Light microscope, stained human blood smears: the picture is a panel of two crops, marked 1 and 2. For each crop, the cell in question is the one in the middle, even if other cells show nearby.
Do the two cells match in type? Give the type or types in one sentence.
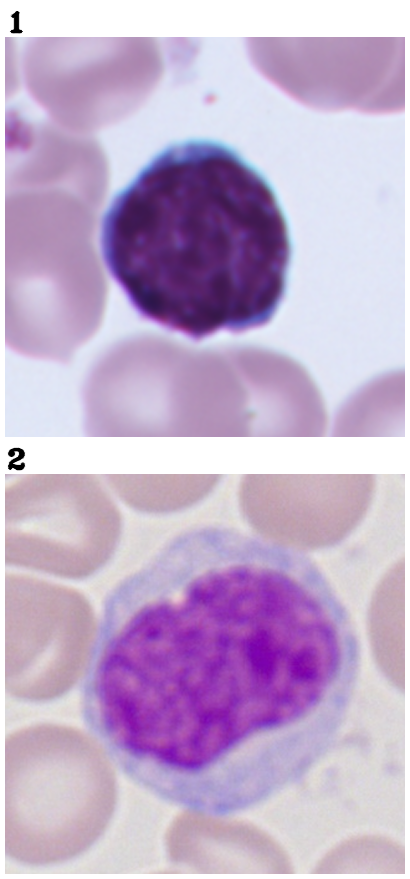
No, a monocyte is the cell in crop 2, and crop 1 contains a lymphocyte.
